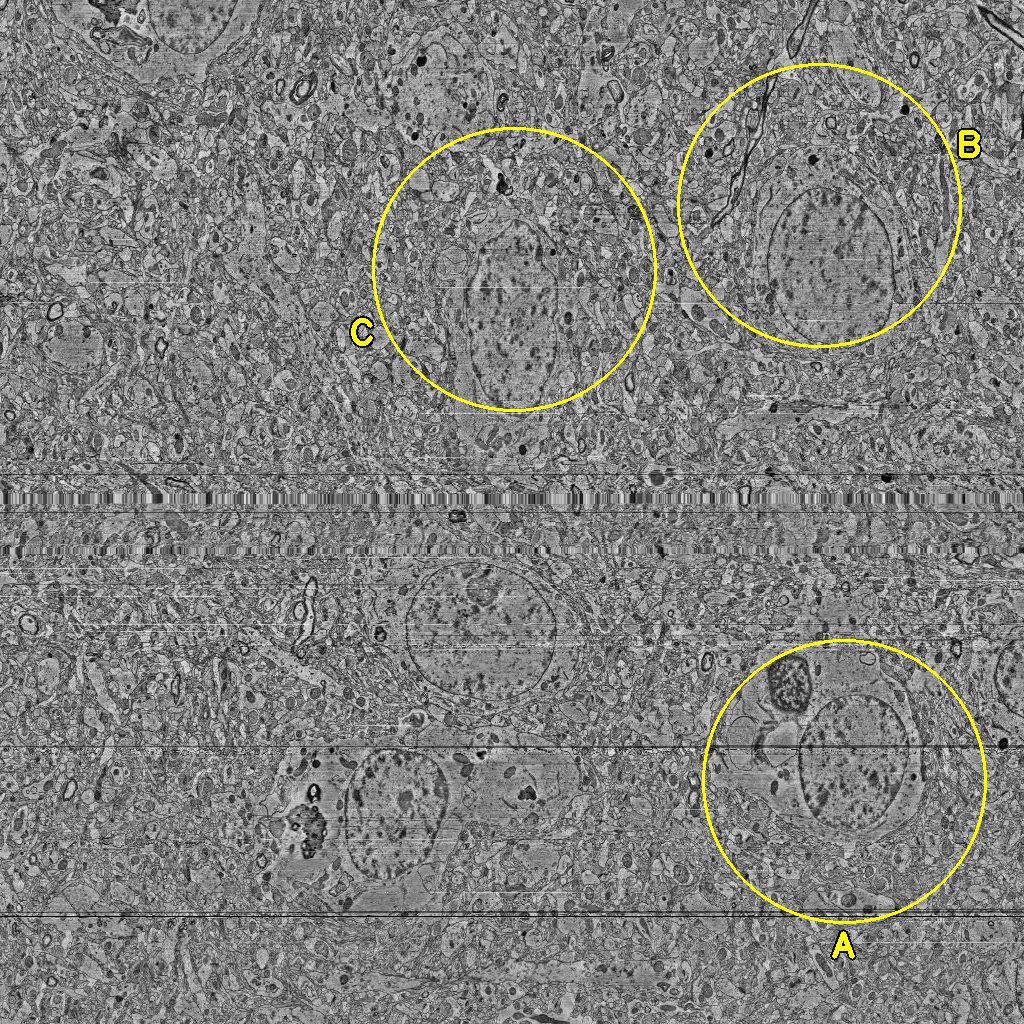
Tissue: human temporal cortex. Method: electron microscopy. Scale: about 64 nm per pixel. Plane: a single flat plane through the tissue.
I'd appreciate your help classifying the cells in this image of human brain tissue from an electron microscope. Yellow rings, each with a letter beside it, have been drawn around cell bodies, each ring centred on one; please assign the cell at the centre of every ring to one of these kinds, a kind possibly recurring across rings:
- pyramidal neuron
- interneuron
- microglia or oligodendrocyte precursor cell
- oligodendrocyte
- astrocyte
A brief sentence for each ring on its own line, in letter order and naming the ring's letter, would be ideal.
In ring A, the central cell is an astrocyte.
In ring B, the central cell is a pyramidal neuron.
In ring C, the central cell is a microglial cell or oligodendrocyte precursor cell.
